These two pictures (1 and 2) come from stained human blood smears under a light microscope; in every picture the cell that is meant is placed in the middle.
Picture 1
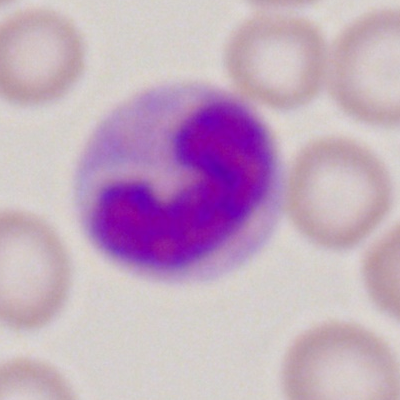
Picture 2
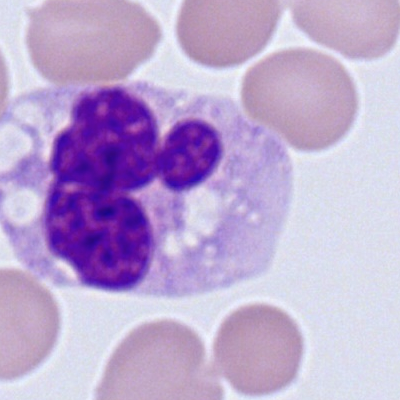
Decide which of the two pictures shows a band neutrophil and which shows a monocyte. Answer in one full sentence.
In picture 1 the cell is a band neutrophil; in picture 2, a monocyte.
